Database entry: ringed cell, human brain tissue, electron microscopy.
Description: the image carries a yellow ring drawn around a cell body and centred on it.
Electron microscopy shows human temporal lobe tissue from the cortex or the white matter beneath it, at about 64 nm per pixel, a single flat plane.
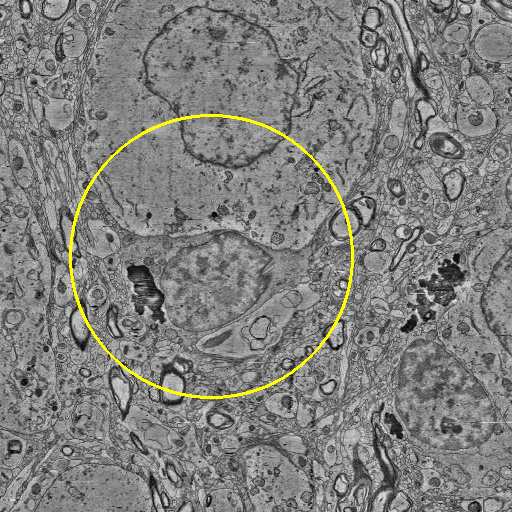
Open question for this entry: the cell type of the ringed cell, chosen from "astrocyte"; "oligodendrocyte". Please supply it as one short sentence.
The ringed cell is an oligodendrocyte.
